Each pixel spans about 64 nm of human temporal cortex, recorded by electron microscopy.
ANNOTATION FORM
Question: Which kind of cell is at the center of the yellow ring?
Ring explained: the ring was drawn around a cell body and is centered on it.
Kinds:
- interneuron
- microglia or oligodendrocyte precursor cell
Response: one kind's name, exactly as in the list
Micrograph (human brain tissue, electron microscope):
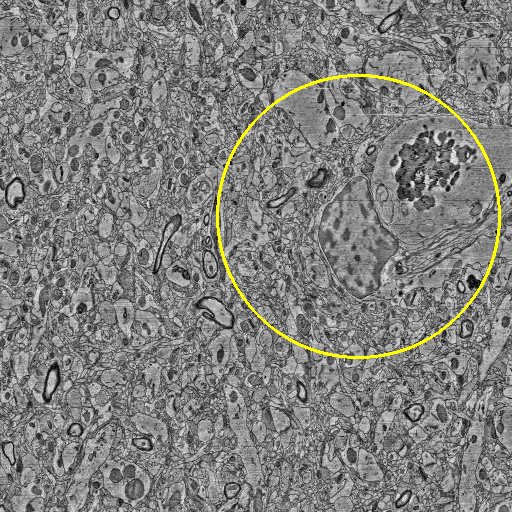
microglia or oligodendrocyte precursor cell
